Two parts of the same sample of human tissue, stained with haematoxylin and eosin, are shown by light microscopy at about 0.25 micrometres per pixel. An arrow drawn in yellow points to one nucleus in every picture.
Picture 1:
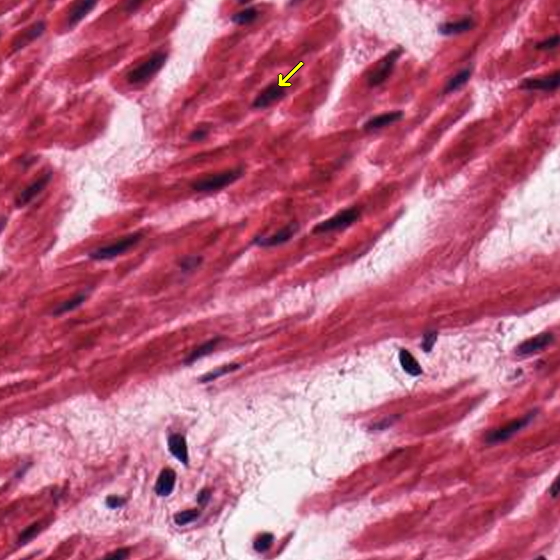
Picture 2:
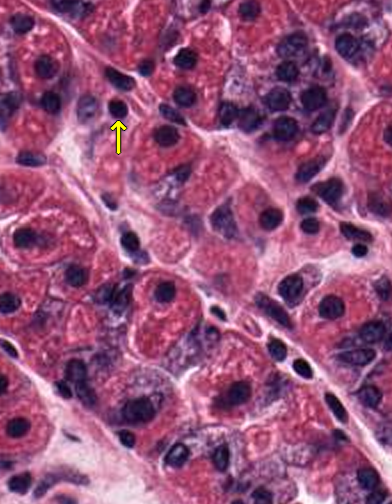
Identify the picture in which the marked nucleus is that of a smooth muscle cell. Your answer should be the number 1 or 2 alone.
1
